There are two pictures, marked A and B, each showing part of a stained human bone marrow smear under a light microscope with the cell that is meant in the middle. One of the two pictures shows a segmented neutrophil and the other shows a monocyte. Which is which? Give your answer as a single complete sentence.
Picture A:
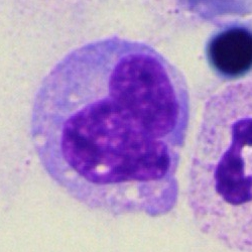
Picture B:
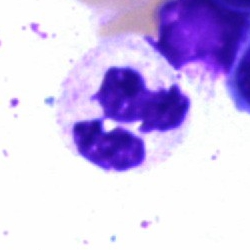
Picture A shows a monocyte and picture B shows a segmented neutrophil.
